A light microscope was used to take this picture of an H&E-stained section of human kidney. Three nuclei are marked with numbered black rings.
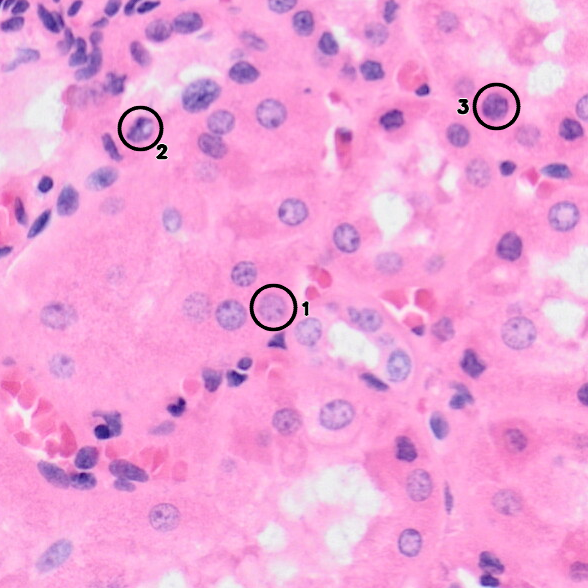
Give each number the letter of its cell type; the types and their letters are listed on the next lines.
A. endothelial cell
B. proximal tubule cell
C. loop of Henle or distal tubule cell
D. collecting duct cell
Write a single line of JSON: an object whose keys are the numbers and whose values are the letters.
{"1": "B", "2": "C", "3": "B"}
